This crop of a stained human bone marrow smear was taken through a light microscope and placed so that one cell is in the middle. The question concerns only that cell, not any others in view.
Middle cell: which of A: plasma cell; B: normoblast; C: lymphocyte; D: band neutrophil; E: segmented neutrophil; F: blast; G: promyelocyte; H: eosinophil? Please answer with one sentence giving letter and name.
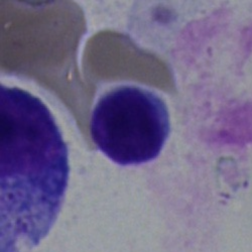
The cell in the centre of the crop is a lymphocyte, so option C is the correct one.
